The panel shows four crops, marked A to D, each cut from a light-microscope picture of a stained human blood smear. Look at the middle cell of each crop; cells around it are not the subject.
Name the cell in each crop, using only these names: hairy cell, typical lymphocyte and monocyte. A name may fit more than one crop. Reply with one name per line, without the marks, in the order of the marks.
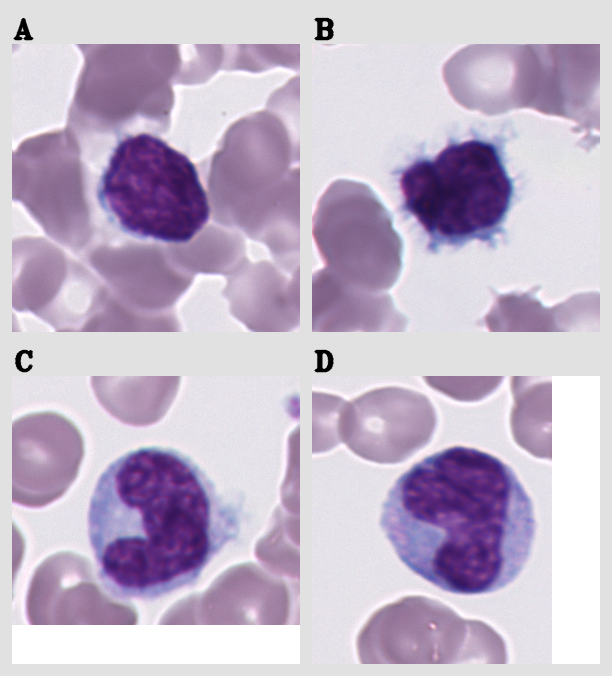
typical lymphocyte
hairy cell
monocyte
monocyte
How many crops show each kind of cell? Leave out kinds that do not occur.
monocyte: 2
typical lymphocyte: 1
hairy cell: 1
